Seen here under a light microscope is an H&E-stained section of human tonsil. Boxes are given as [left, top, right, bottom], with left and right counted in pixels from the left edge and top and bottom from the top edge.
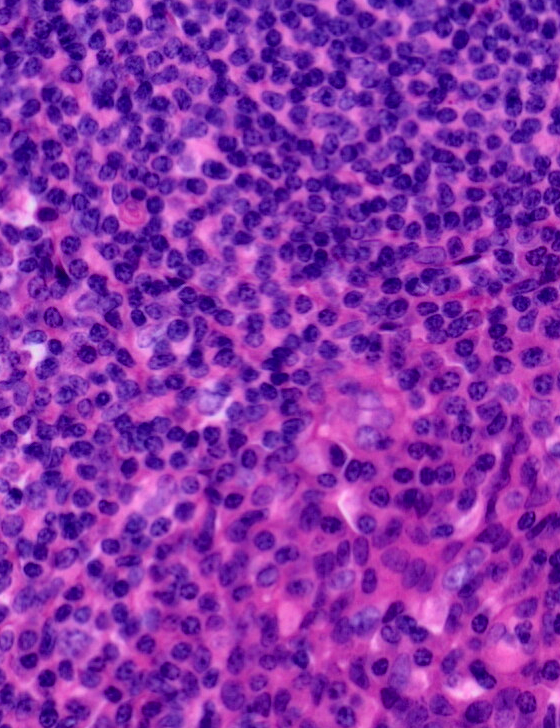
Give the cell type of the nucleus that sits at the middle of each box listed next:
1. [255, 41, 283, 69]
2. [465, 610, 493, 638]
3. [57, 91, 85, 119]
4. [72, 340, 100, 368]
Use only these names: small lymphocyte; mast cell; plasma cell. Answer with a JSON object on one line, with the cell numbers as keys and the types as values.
{"1": "small lymphocyte", "2": "plasma cell", "3": "small lymphocyte", "4": "plasma cell"}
